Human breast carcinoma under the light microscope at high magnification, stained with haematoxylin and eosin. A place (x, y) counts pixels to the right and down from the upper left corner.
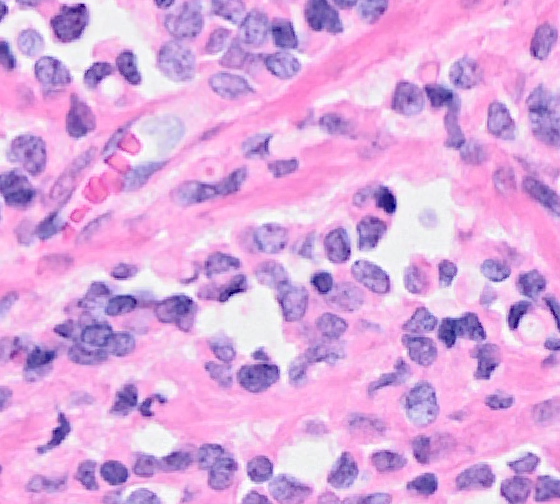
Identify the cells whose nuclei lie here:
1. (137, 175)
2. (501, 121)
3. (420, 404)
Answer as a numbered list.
1. endothelial cell
2. carcinoma cell
3. carcinoma cell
